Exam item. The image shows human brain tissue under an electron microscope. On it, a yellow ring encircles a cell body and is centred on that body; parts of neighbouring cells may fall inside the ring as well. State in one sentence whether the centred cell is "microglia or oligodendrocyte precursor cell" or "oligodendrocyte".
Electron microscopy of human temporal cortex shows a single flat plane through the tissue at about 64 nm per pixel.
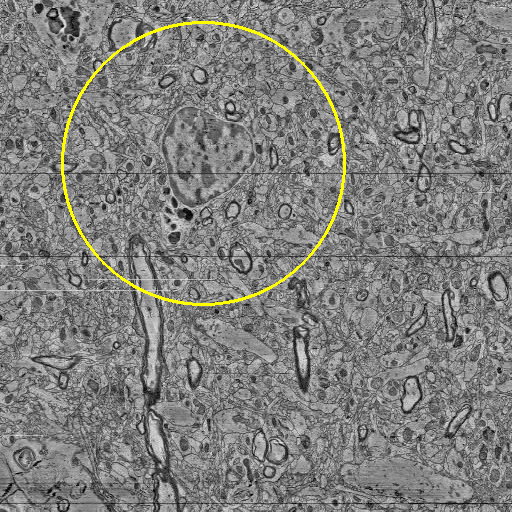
The cell body centred in the ring is a microglial cell or oligodendrocyte precursor cell.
